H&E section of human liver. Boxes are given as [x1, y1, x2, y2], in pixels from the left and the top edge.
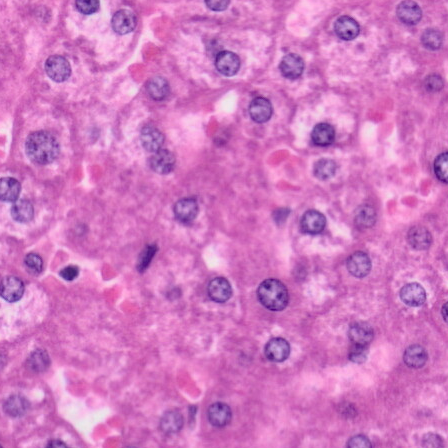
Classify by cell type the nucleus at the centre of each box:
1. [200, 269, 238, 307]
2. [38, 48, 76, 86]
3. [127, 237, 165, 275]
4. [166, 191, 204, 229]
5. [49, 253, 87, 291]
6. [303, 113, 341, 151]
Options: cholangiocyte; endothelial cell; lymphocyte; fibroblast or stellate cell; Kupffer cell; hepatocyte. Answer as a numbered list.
1. hepatocyte
2. hepatocyte
3. fibroblast or stellate cell
4. hepatocyte
5. lymphocyte
6. hepatocyte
